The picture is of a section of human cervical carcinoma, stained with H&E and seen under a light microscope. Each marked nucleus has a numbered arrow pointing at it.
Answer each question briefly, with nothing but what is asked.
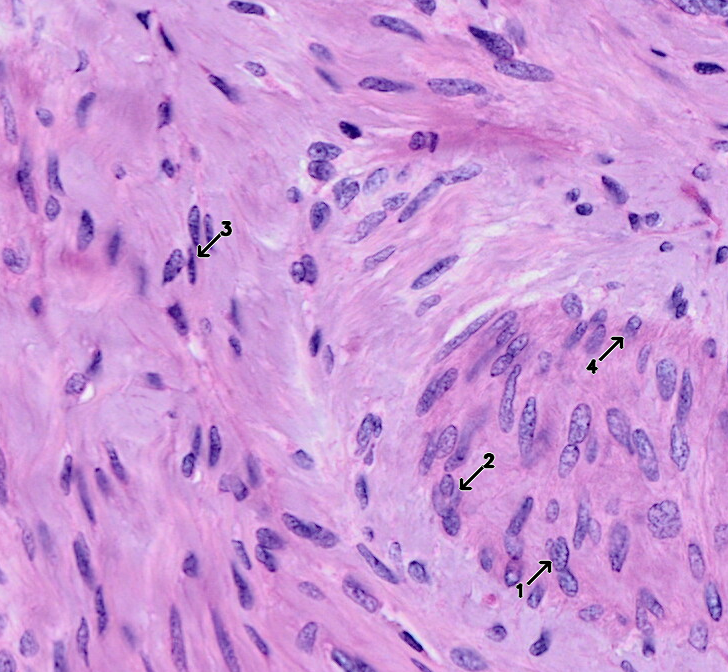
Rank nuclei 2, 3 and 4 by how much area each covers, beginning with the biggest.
2, 4, 3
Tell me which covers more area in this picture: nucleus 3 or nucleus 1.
1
